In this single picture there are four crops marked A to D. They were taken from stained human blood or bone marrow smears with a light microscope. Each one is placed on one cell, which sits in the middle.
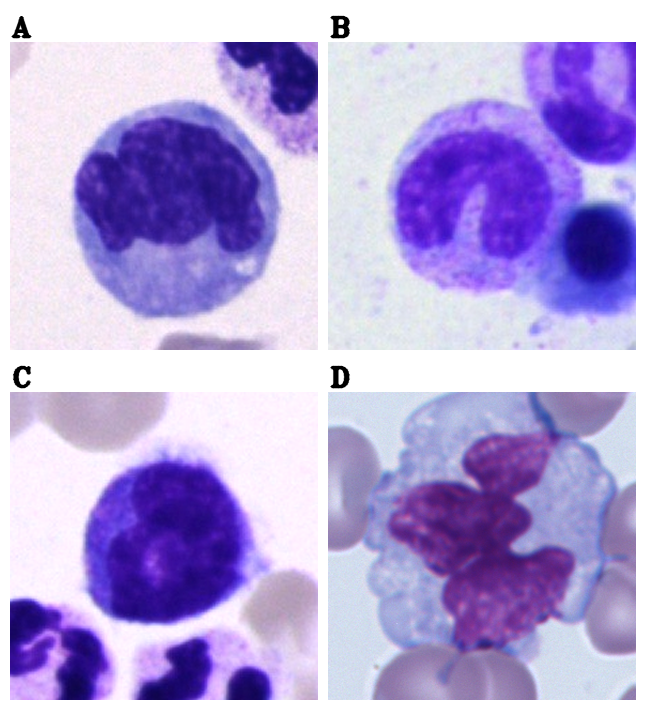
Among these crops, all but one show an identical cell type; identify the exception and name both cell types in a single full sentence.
The rest of the crops show monocytes; crop B is the one showing a band neutrophil.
